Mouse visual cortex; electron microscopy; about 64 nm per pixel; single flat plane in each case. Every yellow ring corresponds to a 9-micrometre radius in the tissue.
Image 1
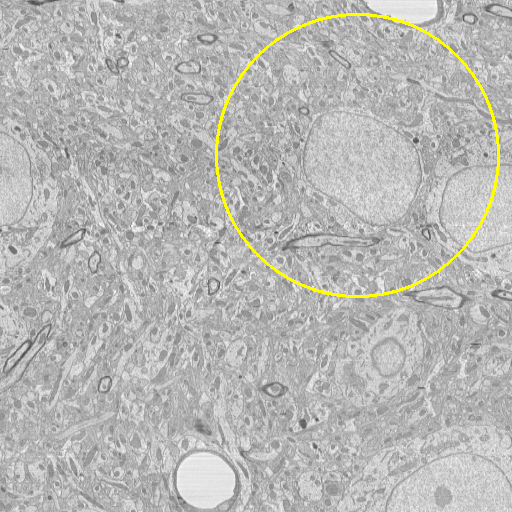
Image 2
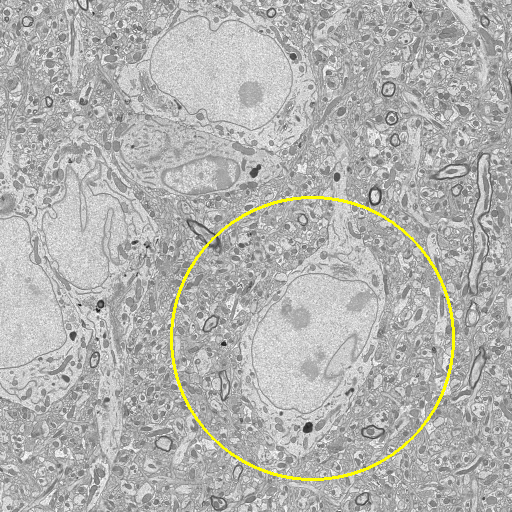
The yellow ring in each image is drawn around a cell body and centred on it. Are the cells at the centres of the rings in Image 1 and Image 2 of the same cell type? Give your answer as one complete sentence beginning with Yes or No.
No, the two cells are of two separate types.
